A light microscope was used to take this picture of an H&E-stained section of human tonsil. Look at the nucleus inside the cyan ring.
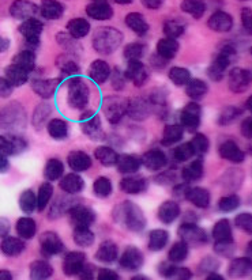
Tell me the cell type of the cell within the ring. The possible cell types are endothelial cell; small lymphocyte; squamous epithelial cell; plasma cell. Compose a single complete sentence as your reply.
Considered by cell type, the cell within the ring is a small lymphocyte.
